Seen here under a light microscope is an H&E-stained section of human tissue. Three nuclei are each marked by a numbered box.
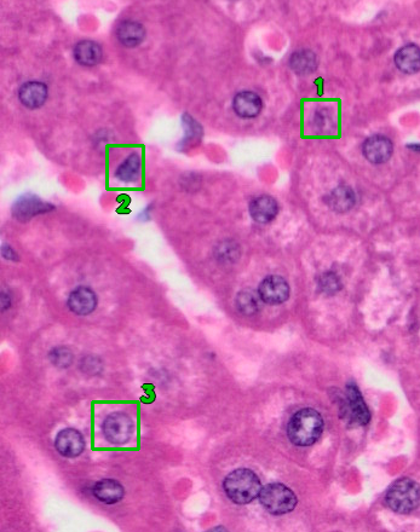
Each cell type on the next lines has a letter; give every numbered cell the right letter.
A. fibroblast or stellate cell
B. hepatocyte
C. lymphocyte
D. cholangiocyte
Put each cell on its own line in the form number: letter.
1: B
2: A
3: B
